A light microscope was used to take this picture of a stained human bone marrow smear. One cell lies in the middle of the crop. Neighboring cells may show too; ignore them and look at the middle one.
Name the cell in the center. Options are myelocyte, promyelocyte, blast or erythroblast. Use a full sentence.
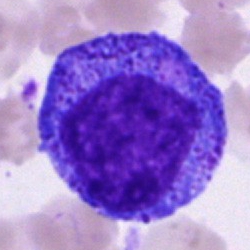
In the centre of this crop there is a promyelocyte.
